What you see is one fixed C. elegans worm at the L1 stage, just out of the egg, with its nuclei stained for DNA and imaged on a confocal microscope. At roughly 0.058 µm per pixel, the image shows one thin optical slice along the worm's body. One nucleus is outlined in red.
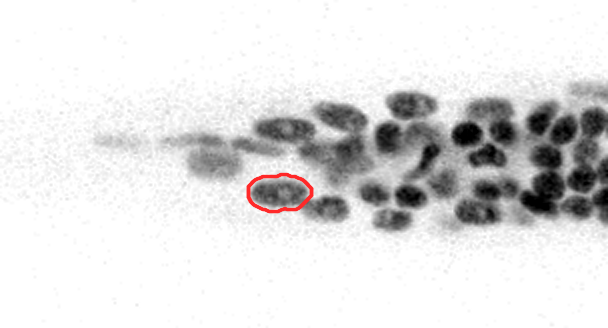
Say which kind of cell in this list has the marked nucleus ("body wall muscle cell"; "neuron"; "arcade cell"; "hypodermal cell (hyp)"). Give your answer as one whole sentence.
It belongs to a body wall muscle cell.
